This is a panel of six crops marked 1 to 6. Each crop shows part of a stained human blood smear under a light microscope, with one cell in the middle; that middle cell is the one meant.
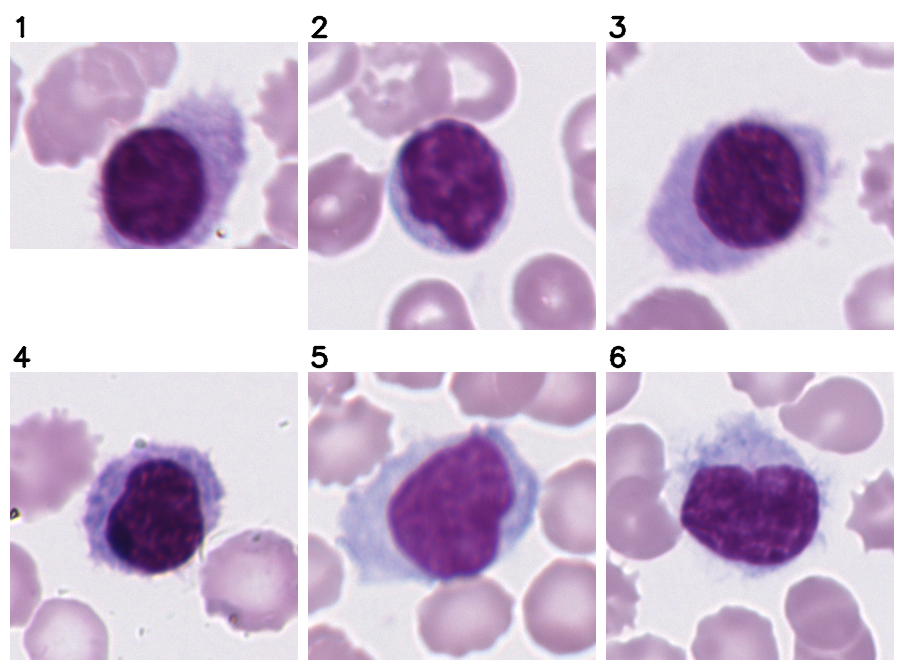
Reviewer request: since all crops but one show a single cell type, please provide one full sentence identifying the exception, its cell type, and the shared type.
Crop 2 contains a typical lymphocyte, setting it apart from the other crops, which all contain hairy cells.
